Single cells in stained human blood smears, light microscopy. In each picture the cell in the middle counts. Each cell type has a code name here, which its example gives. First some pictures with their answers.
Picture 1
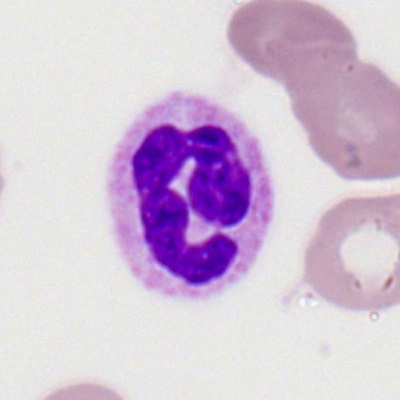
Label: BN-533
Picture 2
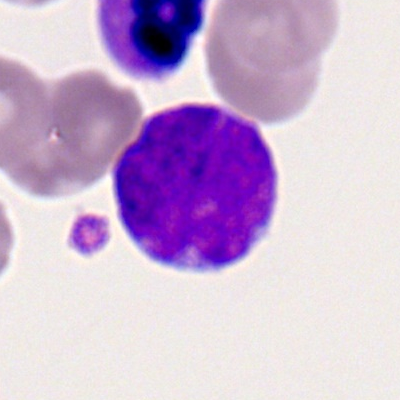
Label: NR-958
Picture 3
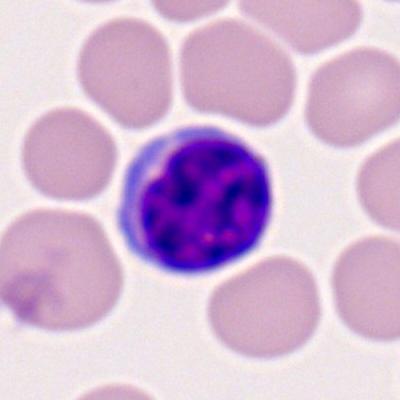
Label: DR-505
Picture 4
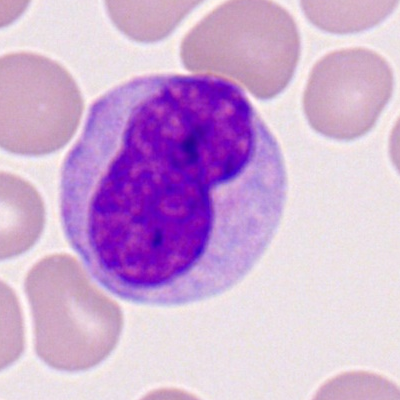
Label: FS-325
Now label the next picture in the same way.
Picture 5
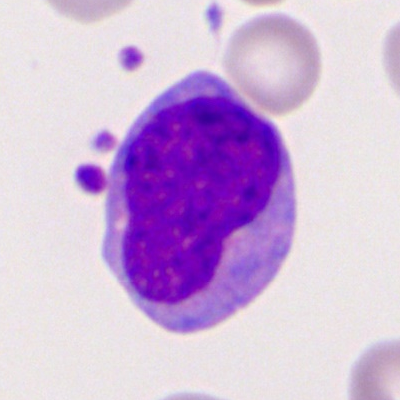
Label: NR-958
